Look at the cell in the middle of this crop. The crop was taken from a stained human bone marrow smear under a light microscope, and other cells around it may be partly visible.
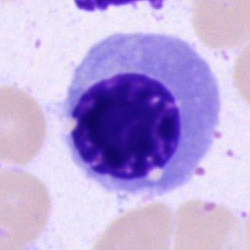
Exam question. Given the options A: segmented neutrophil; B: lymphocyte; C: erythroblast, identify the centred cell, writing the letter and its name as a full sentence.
Option C is right in identifying the central cell as an erythroblast.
